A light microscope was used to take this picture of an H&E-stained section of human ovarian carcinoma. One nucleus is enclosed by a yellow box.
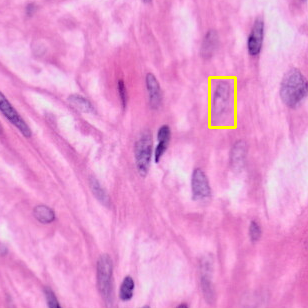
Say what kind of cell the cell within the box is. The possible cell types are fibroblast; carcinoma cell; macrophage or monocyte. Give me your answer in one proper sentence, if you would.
Students should answer that the cell within the box is a fibroblast.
